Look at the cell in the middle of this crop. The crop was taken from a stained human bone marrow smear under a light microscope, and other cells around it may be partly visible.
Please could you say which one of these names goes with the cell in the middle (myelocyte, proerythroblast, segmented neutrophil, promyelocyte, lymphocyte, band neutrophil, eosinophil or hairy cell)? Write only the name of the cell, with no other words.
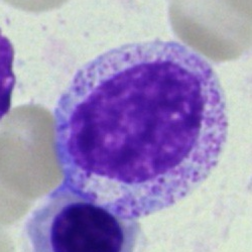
myelocyte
